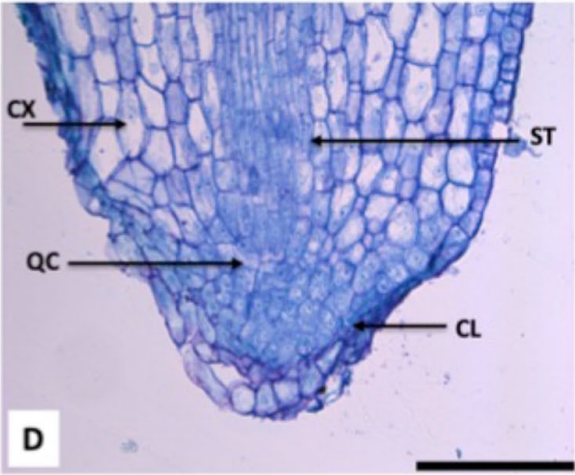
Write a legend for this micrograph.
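A central column of narrow, elongated, densely stained cells runs down the middle toward the tip. On either side lie larger, vacuolated cortex cells in longitudinal files. Near the tip the central column ends in small, densely packed cells, and the rounded apex is covered by flattened cap cells.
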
